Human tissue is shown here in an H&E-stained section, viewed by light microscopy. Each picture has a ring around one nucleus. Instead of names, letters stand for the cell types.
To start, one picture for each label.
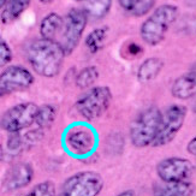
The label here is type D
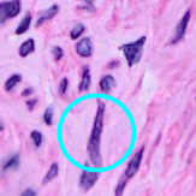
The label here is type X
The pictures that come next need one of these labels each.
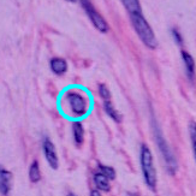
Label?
type X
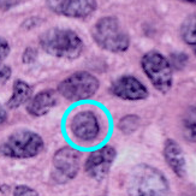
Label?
type D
